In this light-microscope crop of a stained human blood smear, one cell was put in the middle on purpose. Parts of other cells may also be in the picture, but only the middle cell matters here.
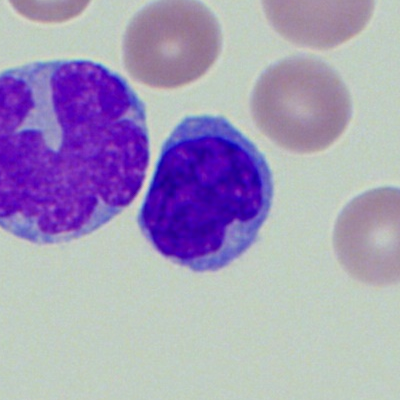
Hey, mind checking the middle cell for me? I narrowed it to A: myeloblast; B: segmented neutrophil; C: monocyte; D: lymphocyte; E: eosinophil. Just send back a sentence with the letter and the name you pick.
The correct identification, given in option D, is that the central cell is a lymphocyte.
